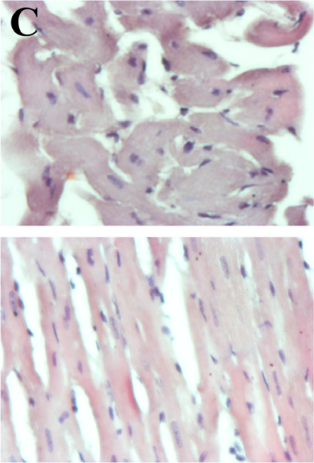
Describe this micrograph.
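Heart muscle cells stained pink with purple nuclei, shown in cross section above and in longitudinal section below. In cross section the fibers form large, irregular, swirling profiles with central oval nuclei and wide clear spaces between bundles; in the longitudinal view the fibers are broad, parallel bands with elongated central nuclei.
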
